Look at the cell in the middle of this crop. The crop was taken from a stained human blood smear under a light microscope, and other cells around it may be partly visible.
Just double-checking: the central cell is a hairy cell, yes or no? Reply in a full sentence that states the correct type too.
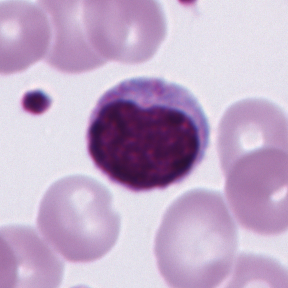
No, the cell centered in the crop is a large granular lymphocyte, not a hairy cell.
